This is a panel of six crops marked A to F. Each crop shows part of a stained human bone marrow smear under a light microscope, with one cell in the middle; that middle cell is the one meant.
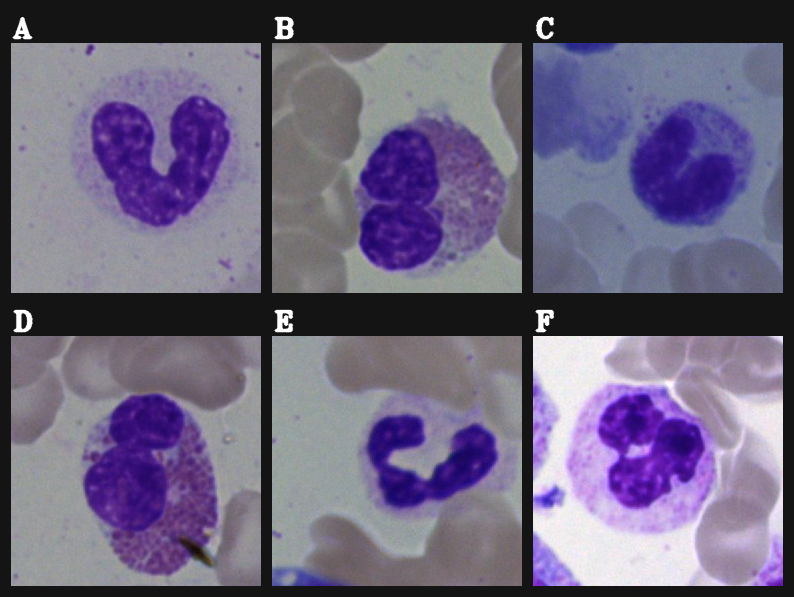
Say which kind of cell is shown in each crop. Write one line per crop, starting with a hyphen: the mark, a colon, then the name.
- A: band neutrophil
- B: eosinophil
- C: band neutrophil
- D: eosinophil
- E: segmented neutrophil
- F: segmented neutrophil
